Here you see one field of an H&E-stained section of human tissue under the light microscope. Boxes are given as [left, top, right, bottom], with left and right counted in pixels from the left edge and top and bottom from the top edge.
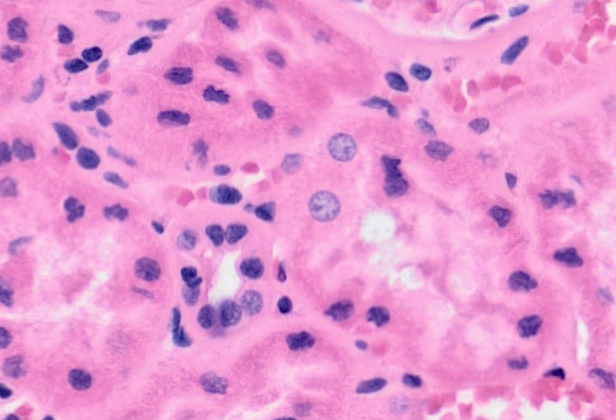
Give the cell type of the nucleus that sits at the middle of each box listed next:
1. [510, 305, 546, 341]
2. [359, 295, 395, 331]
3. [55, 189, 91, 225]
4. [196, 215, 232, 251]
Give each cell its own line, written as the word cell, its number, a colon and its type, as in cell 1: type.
cell 1: proximal tubule cell
cell 2: proximal tubule cell
cell 3: proximal tubule cell
cell 4: collecting duct cell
